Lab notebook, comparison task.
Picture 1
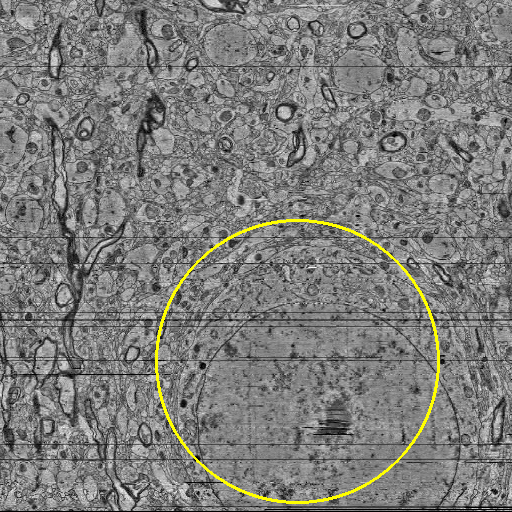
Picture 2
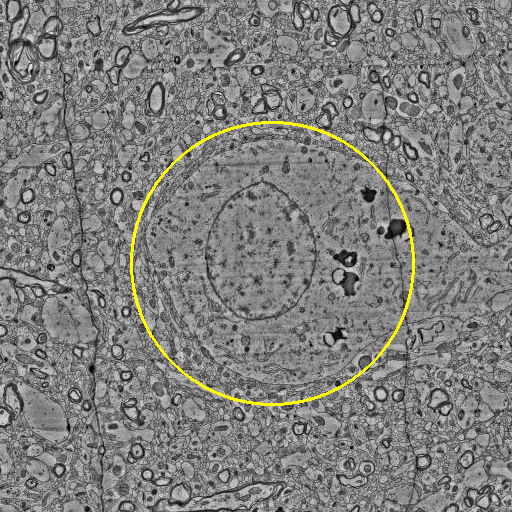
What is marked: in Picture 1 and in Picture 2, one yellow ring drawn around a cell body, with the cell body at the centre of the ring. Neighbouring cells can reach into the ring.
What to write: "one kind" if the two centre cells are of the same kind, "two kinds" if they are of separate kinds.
one kind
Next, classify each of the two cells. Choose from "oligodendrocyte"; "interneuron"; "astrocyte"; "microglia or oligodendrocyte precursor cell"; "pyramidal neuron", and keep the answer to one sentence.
Each of the two pictures has a pyramidal neuron at the ring centre.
